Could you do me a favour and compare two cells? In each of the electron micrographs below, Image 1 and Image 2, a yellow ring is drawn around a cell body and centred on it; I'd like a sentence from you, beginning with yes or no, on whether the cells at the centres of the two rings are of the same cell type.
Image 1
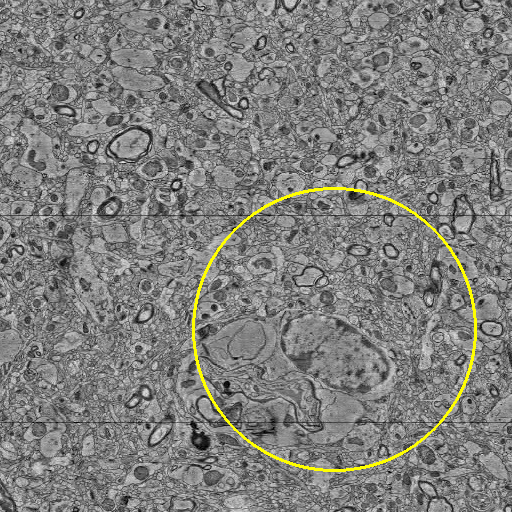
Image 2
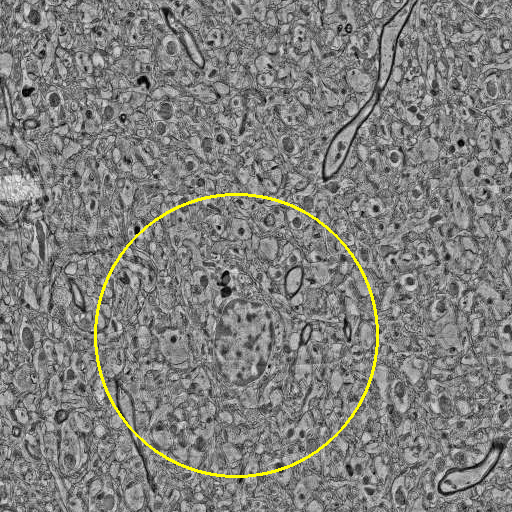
Yes, the two cells are of the same cell type.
